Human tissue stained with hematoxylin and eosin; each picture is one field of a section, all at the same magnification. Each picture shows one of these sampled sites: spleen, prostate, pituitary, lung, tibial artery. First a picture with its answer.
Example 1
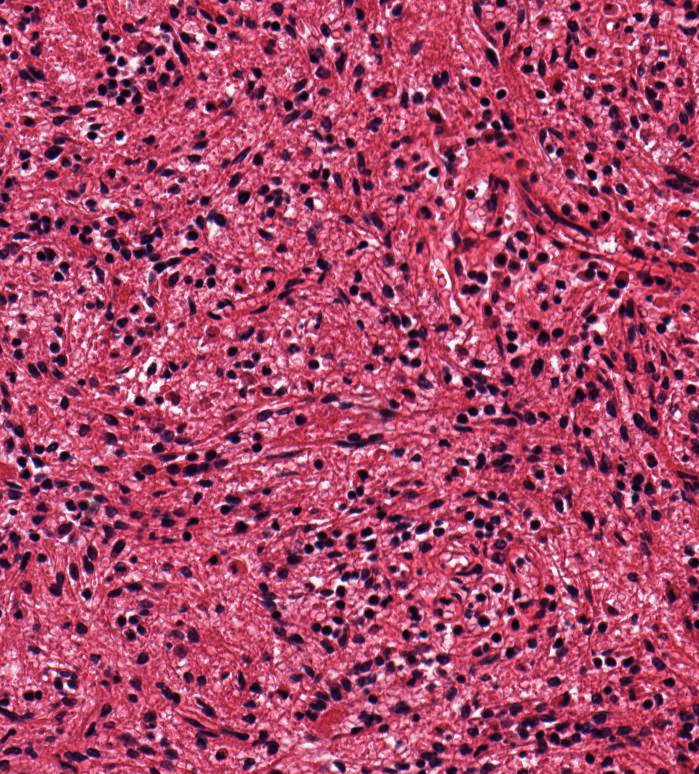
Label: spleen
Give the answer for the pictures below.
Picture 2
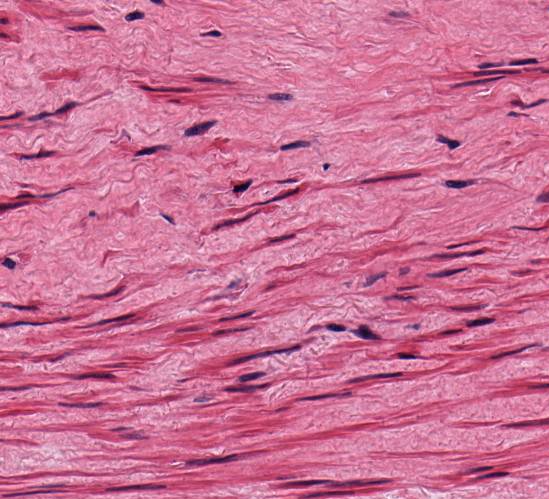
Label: tibial artery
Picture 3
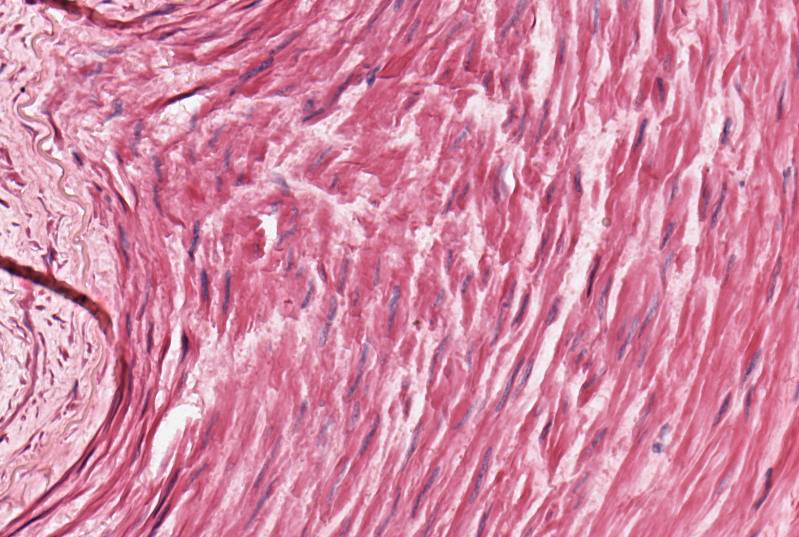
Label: tibial artery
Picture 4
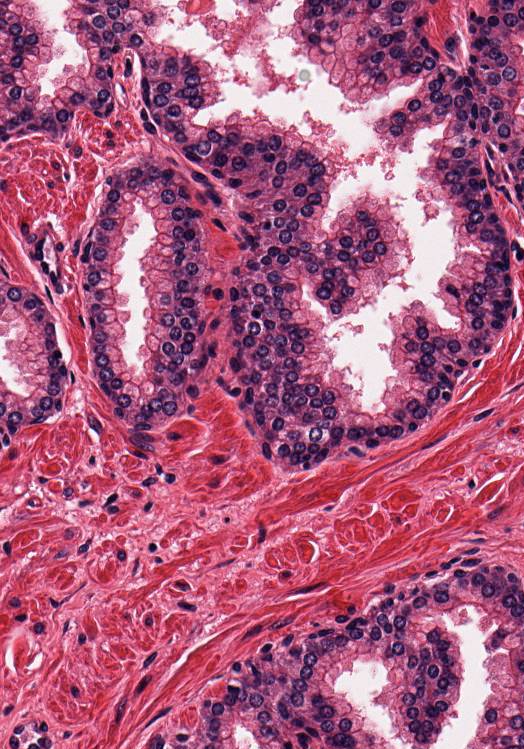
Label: prostate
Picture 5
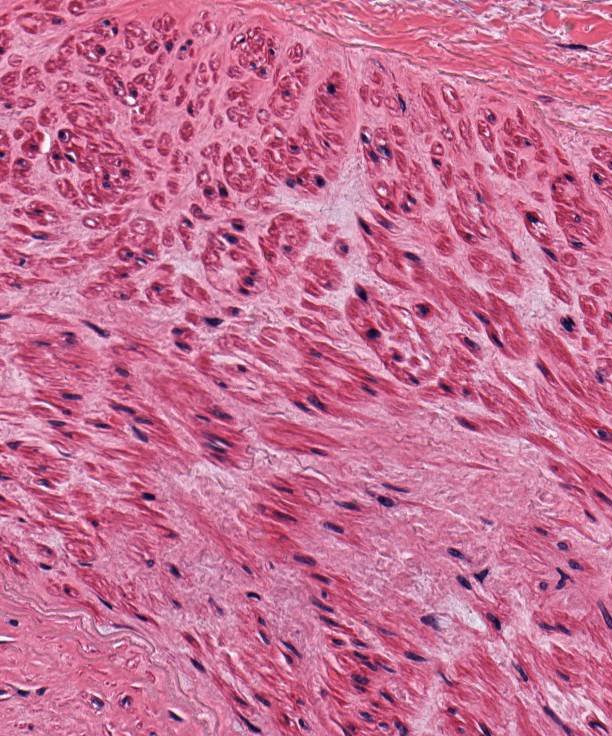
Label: tibial artery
